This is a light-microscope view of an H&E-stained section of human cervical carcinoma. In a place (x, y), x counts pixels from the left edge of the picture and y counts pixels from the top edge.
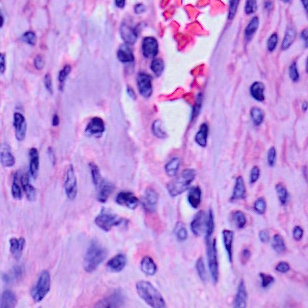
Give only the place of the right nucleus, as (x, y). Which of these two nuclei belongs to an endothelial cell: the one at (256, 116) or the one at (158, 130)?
(158, 130)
